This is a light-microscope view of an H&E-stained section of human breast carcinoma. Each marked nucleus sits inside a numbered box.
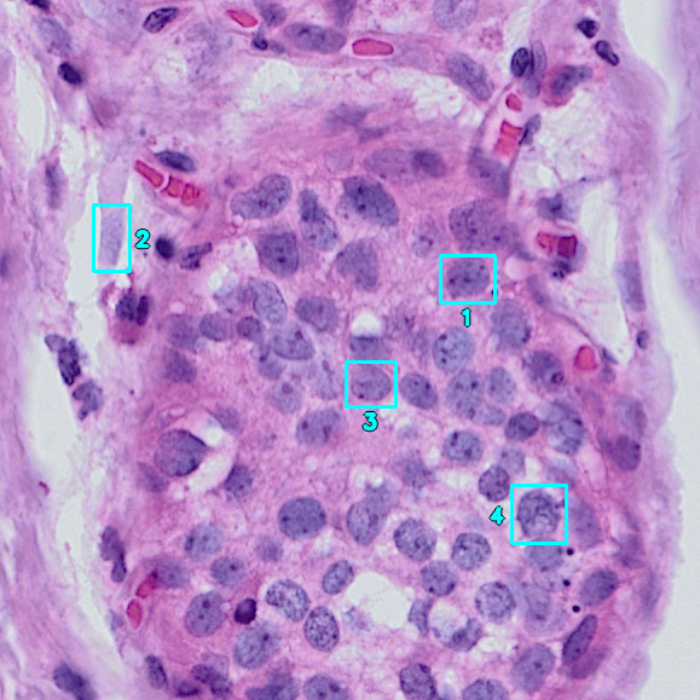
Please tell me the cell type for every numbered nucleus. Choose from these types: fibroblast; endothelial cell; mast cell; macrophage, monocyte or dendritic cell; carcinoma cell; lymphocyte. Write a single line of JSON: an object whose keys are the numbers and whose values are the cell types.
{"1": "carcinoma cell", "2": "fibroblast", "3": "carcinoma cell", "4": "carcinoma cell"}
